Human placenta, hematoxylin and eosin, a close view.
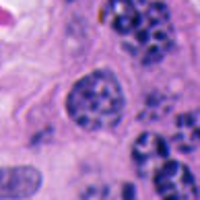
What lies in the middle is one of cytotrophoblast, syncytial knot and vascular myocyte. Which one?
cytotrophoblast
